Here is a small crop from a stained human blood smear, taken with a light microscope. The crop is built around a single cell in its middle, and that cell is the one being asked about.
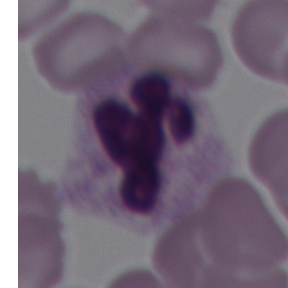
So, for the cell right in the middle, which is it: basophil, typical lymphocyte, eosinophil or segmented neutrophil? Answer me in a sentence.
The cell of interest, located centrally, is a segmented neutrophil.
